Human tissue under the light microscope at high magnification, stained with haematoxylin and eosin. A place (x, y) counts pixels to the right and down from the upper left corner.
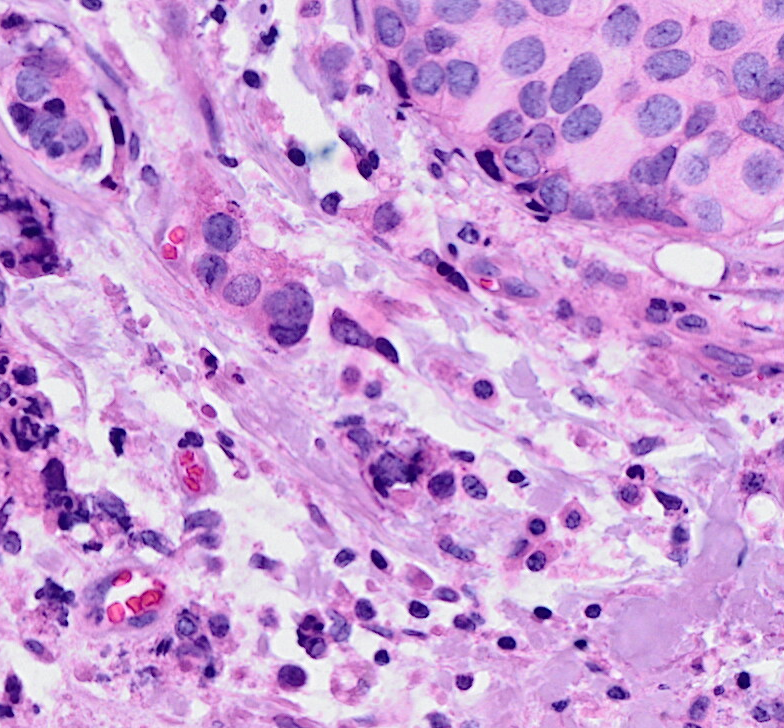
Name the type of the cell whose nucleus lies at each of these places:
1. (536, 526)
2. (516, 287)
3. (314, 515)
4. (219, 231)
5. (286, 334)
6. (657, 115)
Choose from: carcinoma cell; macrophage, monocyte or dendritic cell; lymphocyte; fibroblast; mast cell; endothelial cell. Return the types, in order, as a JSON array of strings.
["mast cell", "endothelial cell", "fibroblast", "carcinoma cell", "carcinoma cell", "carcinoma cell"]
